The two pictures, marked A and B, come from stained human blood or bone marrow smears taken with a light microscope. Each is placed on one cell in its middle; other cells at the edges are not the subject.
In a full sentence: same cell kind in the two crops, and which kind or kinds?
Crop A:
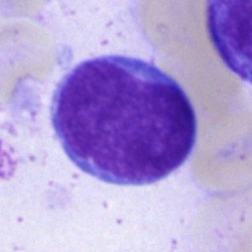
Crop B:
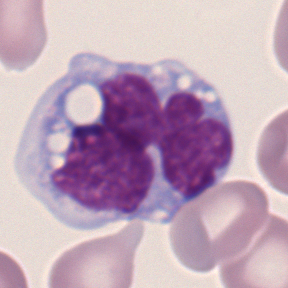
No, crop A gives us a blast and crop B gives us a monocyte.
